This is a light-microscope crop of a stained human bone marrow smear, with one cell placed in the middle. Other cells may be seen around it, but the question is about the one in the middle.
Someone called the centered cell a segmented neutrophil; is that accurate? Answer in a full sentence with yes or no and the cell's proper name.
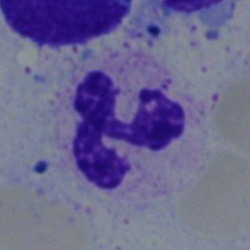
Yes, placed in the middle of the crop is a segmented neutrophil.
